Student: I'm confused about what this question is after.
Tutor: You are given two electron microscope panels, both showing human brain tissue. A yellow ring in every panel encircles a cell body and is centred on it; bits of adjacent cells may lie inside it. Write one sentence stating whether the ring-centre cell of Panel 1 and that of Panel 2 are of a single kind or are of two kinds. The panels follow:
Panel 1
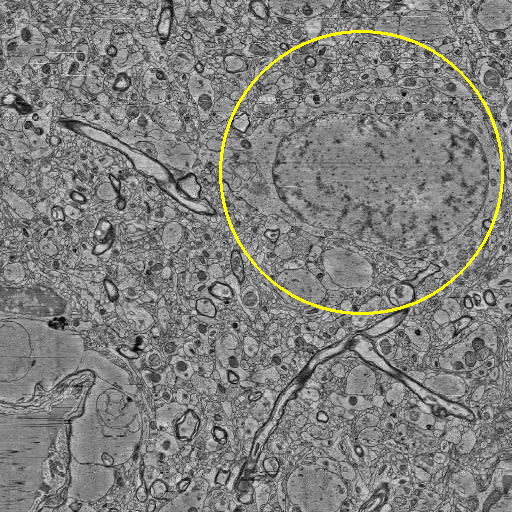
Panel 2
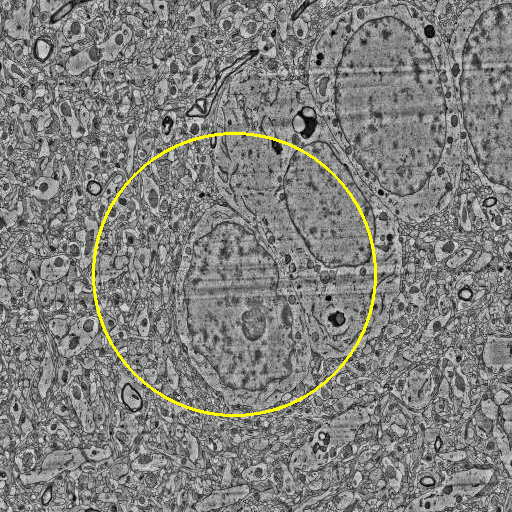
Here, the Panel 1 ring-centre cell and the Panel 2 ring-centre cell are of a single kind.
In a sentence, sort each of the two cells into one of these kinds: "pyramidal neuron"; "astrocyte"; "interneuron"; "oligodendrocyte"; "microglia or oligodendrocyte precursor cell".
Both the first and the second picture show an interneuron in the ring.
